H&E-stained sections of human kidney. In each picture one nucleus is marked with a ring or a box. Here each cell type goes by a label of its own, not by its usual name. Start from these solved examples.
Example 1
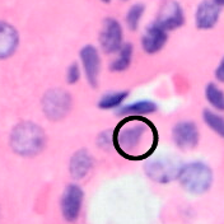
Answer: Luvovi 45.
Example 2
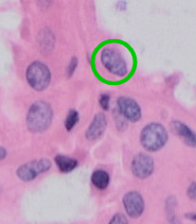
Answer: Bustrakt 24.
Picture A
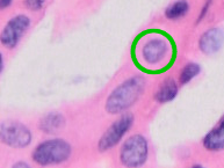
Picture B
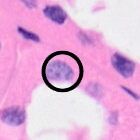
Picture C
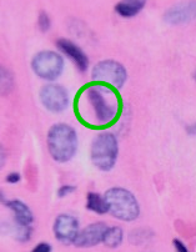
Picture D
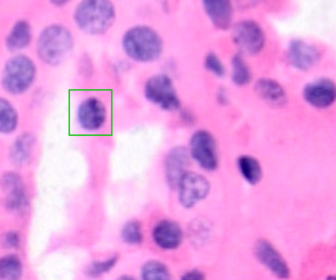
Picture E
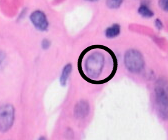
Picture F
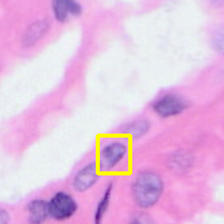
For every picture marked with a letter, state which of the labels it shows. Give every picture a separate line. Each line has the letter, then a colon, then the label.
A: Luvovi 45.
B: Bustrakt 24.
C: Luvovi 45.
D: Luvovi 45.
E: Luvovi 45.
F: Luvovi 45.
